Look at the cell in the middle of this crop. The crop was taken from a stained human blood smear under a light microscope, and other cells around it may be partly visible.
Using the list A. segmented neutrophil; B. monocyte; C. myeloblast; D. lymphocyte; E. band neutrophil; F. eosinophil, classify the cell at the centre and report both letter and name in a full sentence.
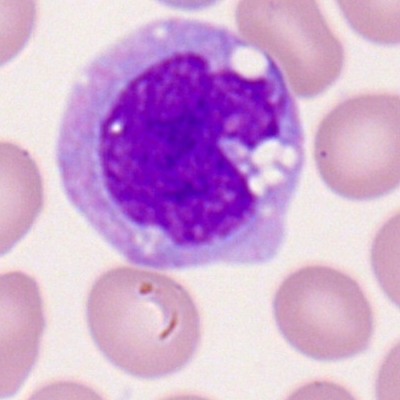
The central cell is a monocyte, which makes option B the right answer.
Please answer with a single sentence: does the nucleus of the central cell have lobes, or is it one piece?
There is one compact nucleus, and its shape is round, oval or kidney-like.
